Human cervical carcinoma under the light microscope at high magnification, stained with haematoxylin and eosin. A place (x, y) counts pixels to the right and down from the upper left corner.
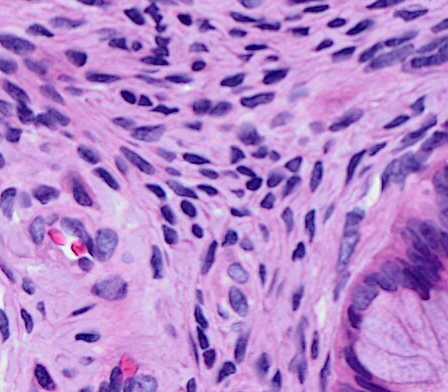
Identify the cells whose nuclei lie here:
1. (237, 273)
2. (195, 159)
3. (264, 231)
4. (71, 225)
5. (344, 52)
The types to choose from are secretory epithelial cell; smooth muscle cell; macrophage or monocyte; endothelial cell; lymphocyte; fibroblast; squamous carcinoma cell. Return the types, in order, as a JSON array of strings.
["endothelial cell", "fibroblast", "fibroblast", "endothelial cell", "fibroblast"]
